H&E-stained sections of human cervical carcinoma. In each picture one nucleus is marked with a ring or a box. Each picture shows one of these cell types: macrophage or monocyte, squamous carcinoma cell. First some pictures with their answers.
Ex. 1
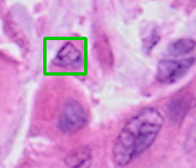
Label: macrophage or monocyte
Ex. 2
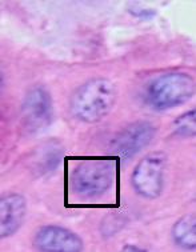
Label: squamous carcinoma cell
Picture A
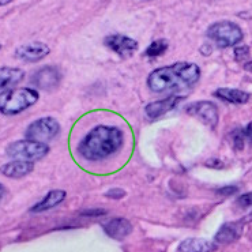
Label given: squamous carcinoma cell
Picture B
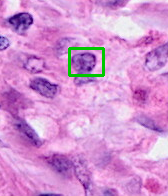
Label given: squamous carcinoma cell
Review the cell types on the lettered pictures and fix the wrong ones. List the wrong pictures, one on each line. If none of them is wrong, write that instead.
Wrong: B (squamous carcinoma cell); correct: macrophage or monocyte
